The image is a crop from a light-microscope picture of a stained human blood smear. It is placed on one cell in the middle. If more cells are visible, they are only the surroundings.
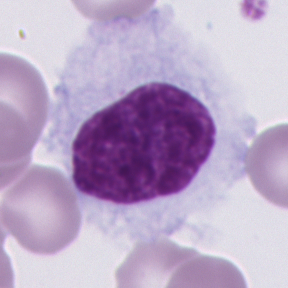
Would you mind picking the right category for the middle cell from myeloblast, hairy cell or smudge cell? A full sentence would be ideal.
In the crop, the cell of interest at the centre is a hairy cell.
